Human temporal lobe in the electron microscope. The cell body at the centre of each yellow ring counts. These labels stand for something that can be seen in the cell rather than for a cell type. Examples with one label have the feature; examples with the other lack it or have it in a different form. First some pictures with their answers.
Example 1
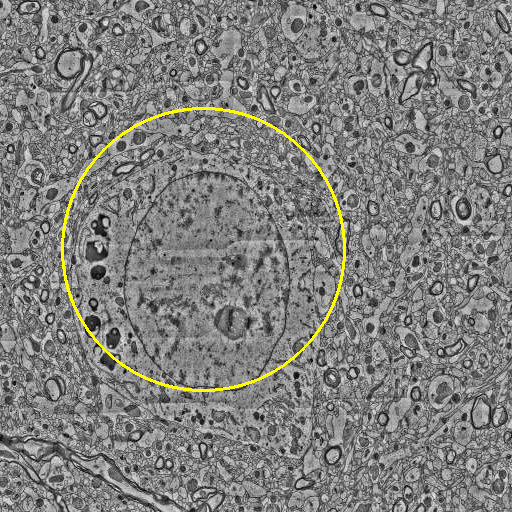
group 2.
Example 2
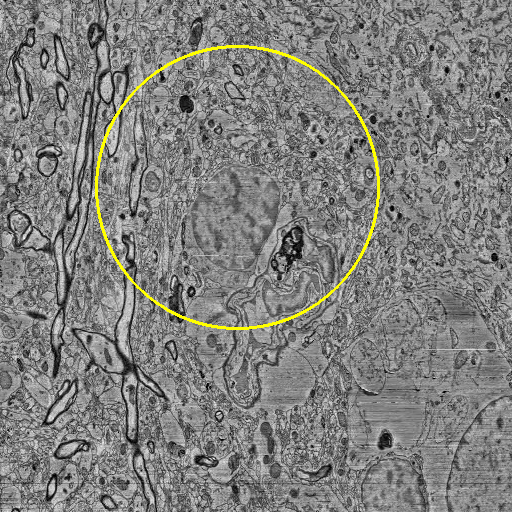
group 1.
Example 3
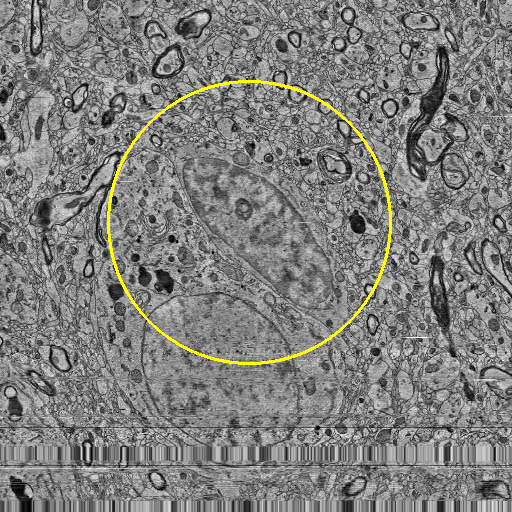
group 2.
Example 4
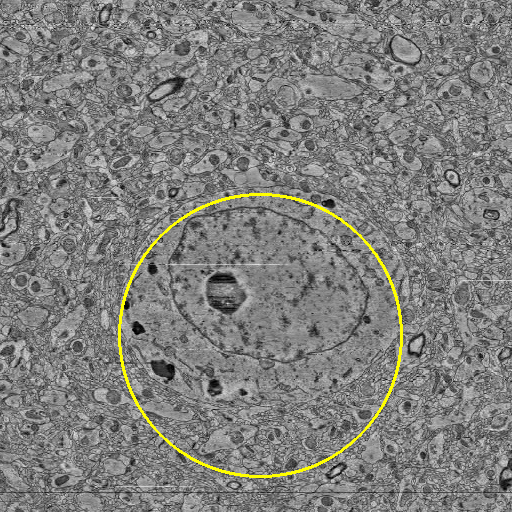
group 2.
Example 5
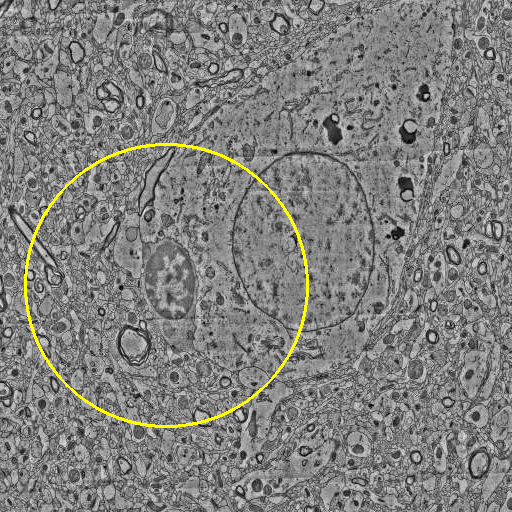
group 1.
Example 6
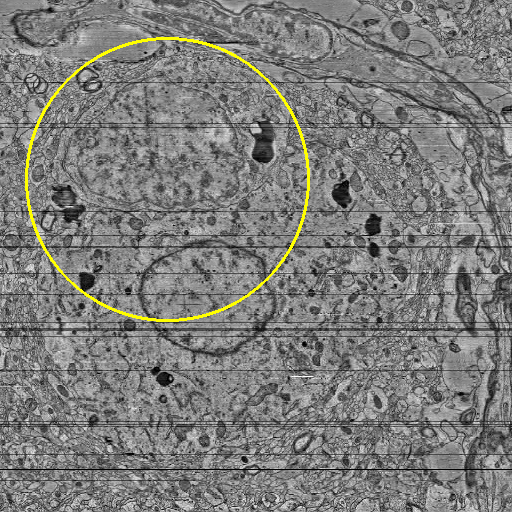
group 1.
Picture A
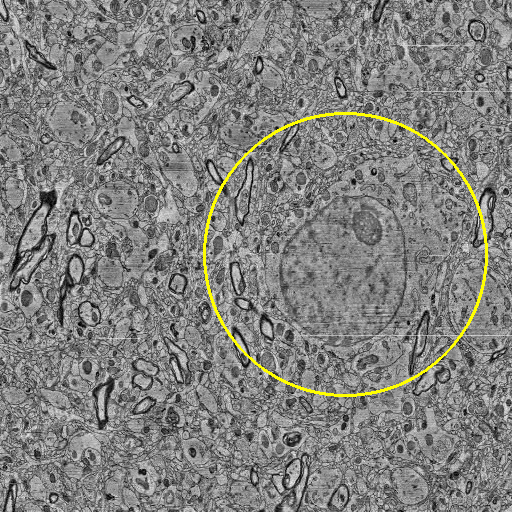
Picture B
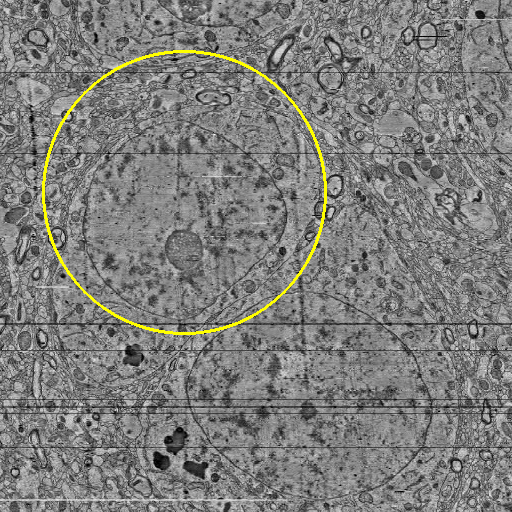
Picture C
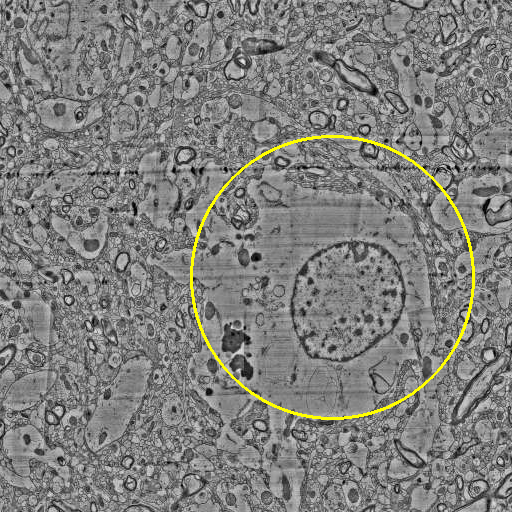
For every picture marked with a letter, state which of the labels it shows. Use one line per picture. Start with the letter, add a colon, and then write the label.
A: group 2.
B: group 2.
C: group 1.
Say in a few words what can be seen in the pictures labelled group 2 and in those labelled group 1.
In group 2: nucleolus seen. In group 1: no nucleolus seen.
